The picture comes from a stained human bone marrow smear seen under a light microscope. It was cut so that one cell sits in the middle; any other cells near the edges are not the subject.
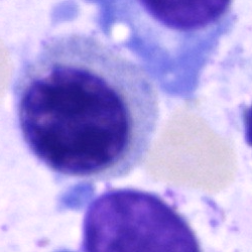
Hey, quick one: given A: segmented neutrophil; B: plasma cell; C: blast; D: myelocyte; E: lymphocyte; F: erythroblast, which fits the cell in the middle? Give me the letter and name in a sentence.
Option F is accurate; the centrally placed cell is an erythroblast.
